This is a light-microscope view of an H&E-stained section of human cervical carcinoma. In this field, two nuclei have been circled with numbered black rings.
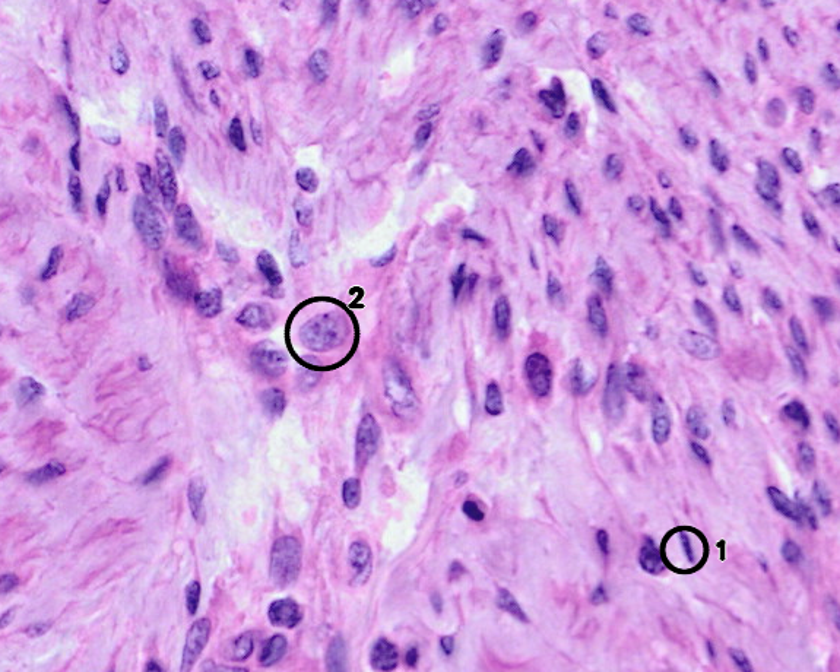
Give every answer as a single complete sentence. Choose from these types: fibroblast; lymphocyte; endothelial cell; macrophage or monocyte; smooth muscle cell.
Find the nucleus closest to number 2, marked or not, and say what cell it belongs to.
Number 2 lies closest to the nucleus of an endothelial cell.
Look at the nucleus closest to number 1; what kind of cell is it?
The nucleus nearest to number 1 is that of a lymphocyte.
